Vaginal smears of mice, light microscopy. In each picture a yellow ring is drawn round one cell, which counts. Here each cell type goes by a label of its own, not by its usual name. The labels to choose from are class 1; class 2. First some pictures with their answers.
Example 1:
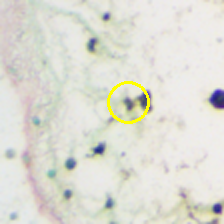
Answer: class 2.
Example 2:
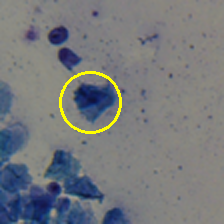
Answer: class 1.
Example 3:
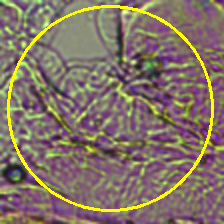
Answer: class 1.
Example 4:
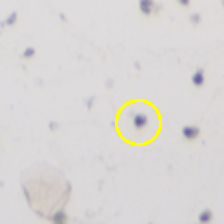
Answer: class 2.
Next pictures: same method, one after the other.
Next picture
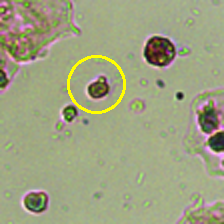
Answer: class 2.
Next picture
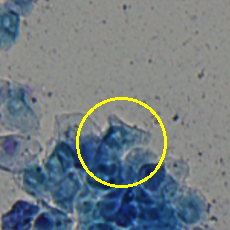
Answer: class 1.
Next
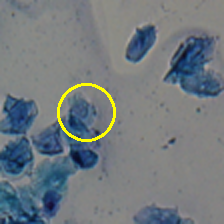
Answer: class 1.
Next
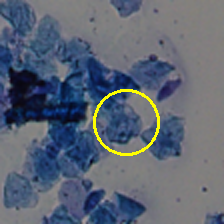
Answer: class 1.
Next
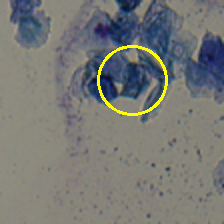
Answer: class 1.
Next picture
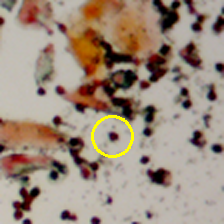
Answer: class 2.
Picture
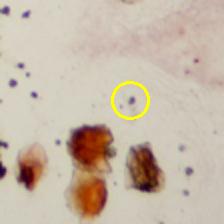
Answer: class 2.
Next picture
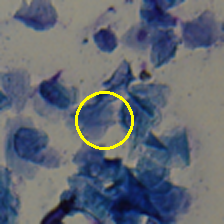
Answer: class 1.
